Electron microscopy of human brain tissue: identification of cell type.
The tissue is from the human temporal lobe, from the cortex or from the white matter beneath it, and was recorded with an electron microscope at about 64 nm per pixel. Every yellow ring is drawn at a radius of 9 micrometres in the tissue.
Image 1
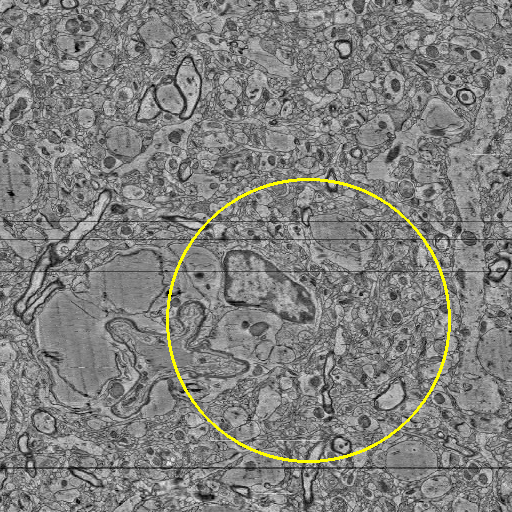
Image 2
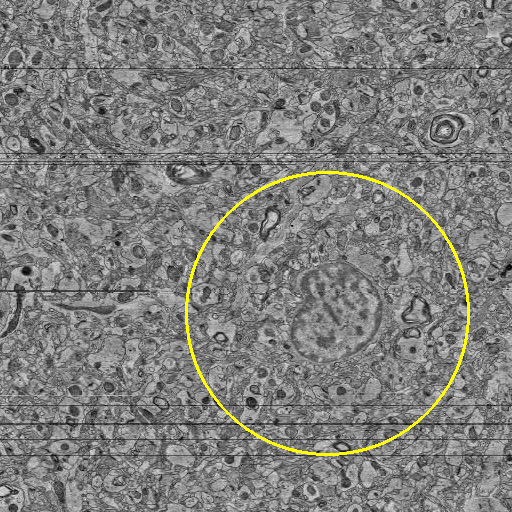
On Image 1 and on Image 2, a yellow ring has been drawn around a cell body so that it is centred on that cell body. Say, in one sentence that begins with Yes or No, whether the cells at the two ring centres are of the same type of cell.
No, the two cells are two separate types of cell.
